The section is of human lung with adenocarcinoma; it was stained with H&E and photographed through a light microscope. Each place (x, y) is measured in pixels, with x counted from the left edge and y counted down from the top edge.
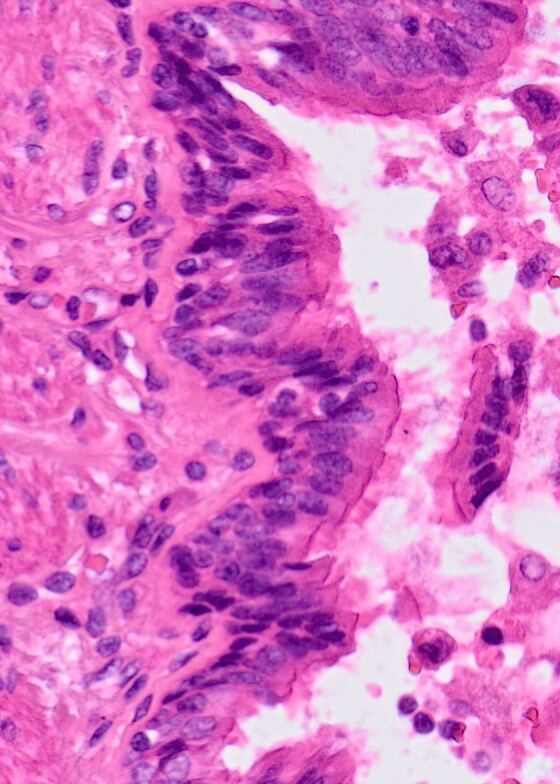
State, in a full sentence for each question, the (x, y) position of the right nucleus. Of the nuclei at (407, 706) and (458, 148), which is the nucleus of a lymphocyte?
Of the pair, the nucleus positioned at (407, 706) is that of a lymphocyte.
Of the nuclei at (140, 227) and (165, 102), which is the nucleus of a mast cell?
The member of the pair belonging to a mast cell is the nucleus at (140, 227).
